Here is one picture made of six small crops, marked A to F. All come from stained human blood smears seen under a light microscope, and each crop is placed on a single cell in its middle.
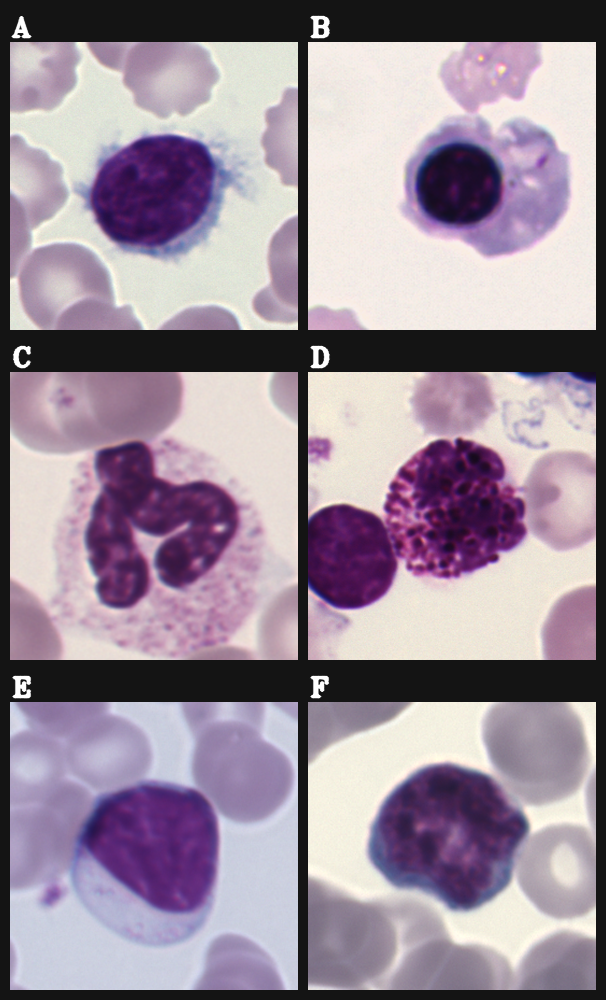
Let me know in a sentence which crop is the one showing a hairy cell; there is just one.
As for which crop shows a hairy cell, it is crop A.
